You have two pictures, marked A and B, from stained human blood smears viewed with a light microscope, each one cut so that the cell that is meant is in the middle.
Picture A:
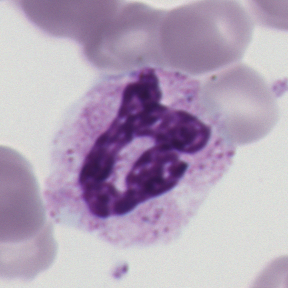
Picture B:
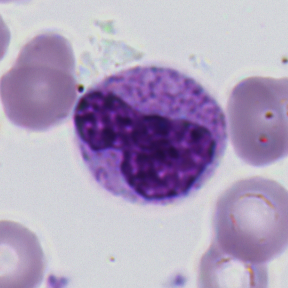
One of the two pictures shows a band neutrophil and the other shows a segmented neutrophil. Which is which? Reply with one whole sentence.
The cell in picture A is a segmented neutrophil, and the one in picture B is a band neutrophil.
